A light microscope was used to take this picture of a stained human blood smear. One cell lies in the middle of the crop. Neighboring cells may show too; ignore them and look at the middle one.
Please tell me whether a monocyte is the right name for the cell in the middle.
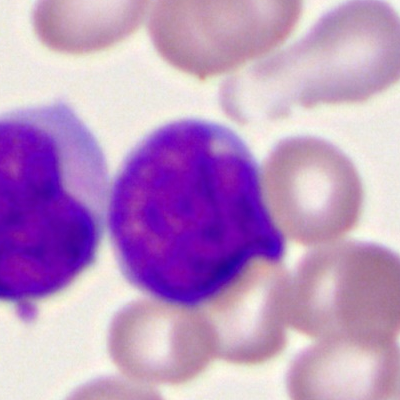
no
